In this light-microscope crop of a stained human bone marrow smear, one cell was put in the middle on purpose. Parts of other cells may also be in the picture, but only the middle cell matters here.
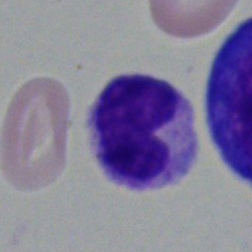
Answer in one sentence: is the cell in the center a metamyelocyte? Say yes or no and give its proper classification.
Yes, in the middle of the crop is a metamyelocyte.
